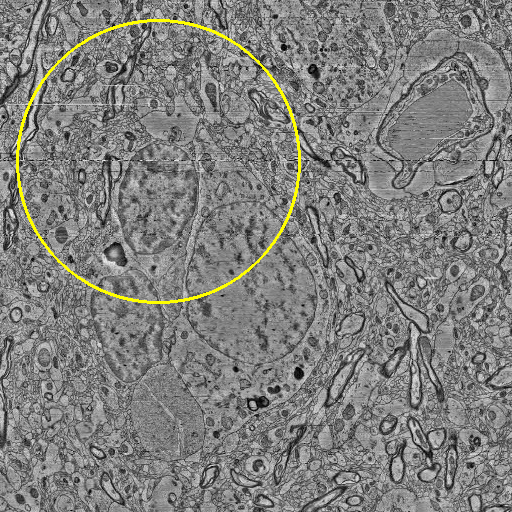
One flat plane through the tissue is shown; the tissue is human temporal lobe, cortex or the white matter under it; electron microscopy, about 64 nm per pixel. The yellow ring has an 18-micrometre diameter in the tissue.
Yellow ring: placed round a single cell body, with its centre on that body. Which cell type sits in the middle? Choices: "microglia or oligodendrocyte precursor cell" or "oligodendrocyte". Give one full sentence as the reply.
It is an oligodendrocyte whose cell body sits at the centre of the yellow ring.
